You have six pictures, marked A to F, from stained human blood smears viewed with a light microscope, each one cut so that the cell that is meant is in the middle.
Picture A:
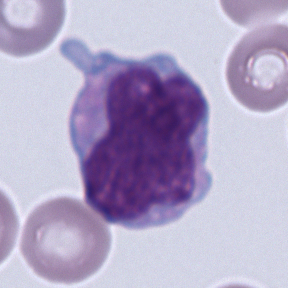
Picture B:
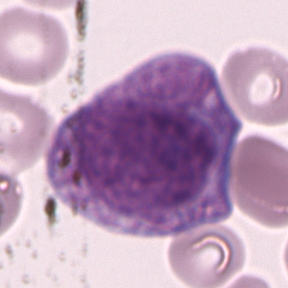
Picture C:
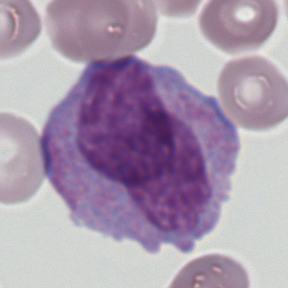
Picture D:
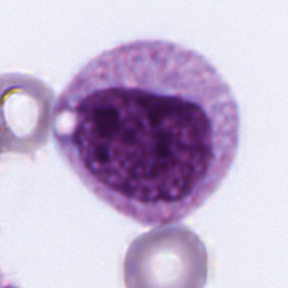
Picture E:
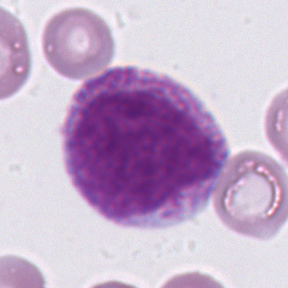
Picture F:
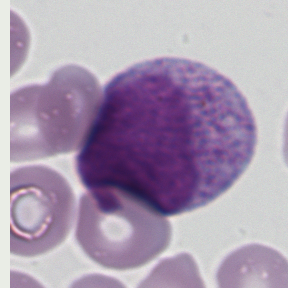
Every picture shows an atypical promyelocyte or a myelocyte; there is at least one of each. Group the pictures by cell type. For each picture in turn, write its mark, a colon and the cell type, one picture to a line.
A: atypical promyelocyte
B: atypical promyelocyte
C: atypical promyelocyte
D: myelocyte
E: myelocyte
F: myelocyte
